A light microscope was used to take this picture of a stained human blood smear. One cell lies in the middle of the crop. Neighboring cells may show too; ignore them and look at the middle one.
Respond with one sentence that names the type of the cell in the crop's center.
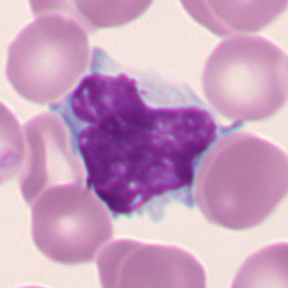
Regarding the central cell, it is a typical lymphocyte.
